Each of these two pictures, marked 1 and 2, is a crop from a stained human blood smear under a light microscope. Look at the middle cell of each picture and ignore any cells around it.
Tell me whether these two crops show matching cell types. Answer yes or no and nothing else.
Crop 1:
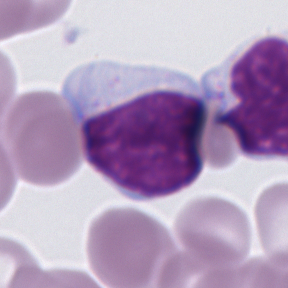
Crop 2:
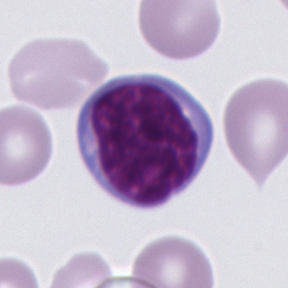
yes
